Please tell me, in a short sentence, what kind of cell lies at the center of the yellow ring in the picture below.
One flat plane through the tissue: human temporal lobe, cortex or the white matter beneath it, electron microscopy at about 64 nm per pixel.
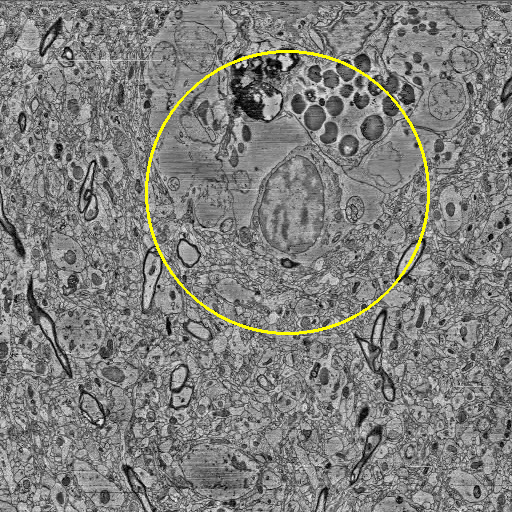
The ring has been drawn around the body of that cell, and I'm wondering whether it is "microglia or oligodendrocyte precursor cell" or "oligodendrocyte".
The cell at the center of the ring is an oligodendrocyte.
